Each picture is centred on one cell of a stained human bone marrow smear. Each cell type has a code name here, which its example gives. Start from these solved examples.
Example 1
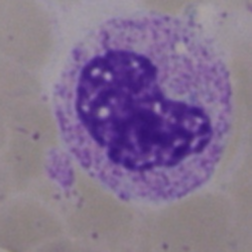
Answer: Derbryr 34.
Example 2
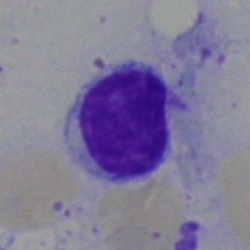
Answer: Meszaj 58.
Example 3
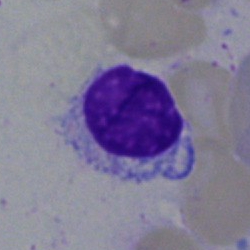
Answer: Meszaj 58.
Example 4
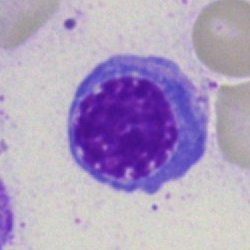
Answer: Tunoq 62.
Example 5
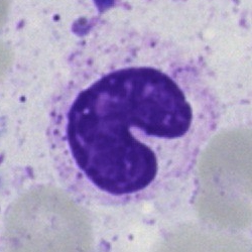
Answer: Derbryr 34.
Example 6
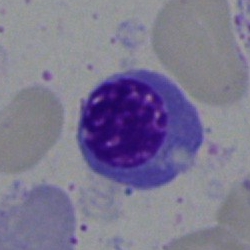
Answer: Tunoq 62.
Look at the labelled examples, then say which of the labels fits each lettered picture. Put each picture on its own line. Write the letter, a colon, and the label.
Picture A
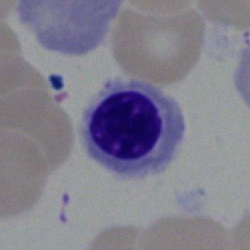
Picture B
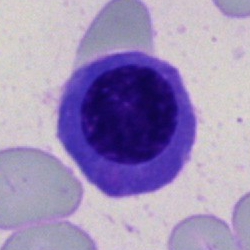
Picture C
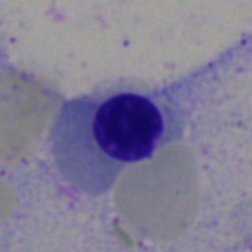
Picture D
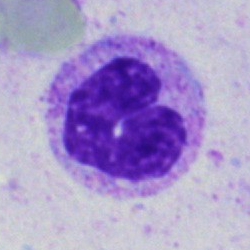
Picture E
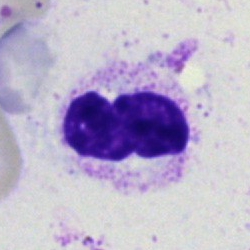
A: Tunoq 62.
B: Tunoq 62.
C: Tunoq 62.
D: Derbryr 34.
E: Derbryr 34.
